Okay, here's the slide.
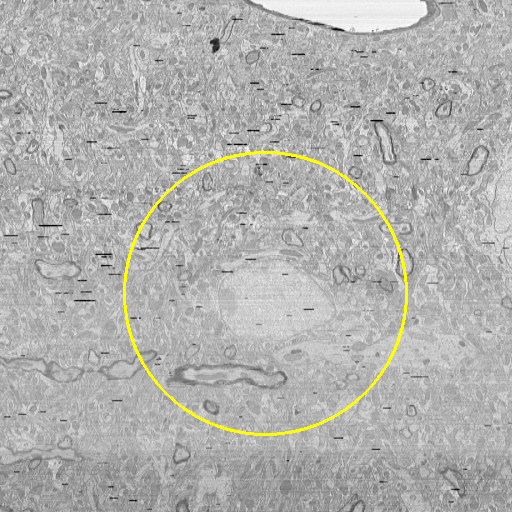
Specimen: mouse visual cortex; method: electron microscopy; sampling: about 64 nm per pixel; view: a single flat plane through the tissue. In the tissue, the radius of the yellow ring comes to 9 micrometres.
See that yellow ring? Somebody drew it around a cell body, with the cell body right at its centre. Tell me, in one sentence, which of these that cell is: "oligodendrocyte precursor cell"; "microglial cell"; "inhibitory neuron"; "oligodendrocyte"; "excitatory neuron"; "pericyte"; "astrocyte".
The cell in the middle of the ring is an astrocyte.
